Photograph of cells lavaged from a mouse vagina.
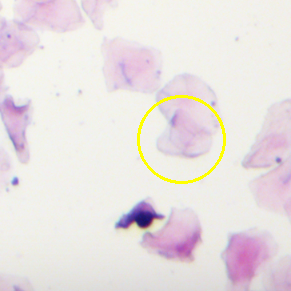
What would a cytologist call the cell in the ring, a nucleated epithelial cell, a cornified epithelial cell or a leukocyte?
A cytologist would call it a cornified epithelial cell.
